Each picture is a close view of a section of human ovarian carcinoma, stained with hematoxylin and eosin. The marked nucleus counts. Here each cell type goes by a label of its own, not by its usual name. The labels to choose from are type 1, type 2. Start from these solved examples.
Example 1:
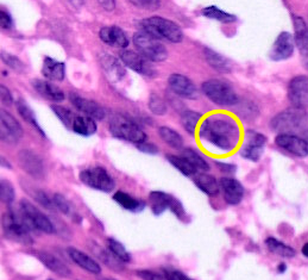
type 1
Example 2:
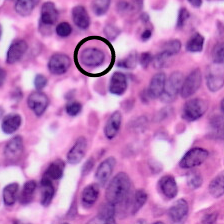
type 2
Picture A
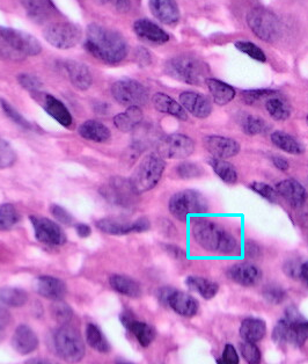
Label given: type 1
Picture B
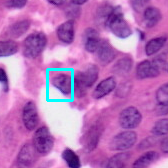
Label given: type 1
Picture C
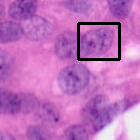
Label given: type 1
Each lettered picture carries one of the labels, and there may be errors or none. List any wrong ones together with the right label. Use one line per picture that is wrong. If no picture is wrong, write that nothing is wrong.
Wrong: B (type 1); correct: type 2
